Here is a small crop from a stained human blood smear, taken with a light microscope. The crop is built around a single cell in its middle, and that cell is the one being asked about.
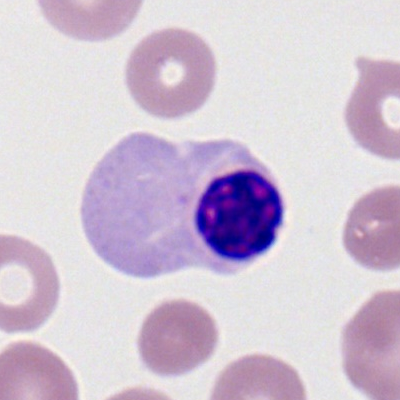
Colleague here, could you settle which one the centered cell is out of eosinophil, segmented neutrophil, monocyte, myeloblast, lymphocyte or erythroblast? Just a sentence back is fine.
The middle of this crop holds an erythroblast.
